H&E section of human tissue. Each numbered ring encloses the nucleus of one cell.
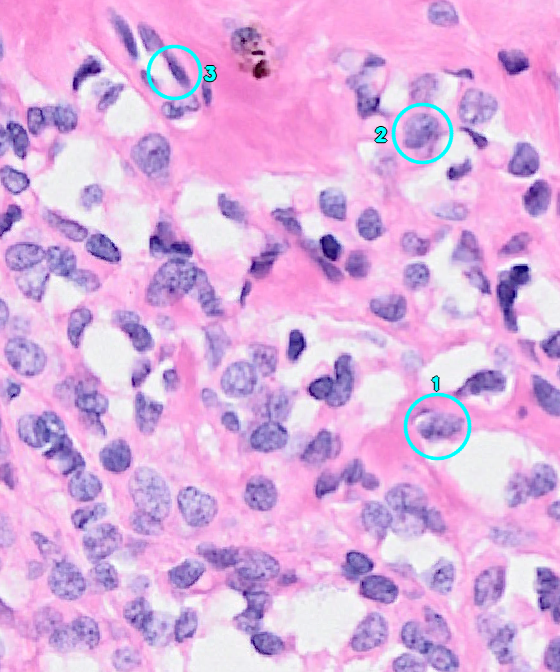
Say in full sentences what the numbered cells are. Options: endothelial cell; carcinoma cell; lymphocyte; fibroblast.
Cell 1 is a carcinoma cell, cell 2 is a carcinoma cell and cell 3 is an endothelial cell.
